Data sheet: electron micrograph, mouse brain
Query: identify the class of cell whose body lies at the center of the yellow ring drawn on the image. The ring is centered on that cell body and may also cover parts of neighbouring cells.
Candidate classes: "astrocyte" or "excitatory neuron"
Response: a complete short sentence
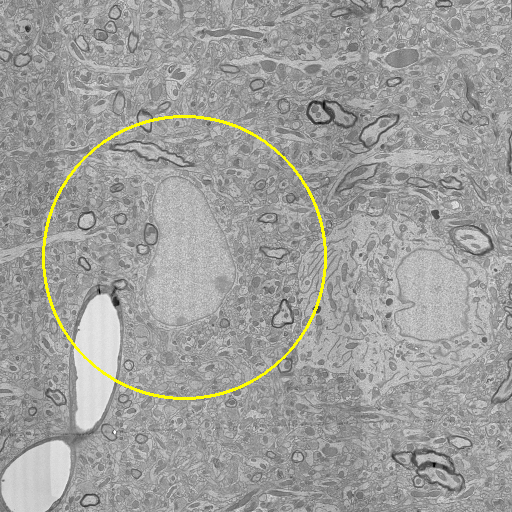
At the center of the ring lies an astrocyte.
